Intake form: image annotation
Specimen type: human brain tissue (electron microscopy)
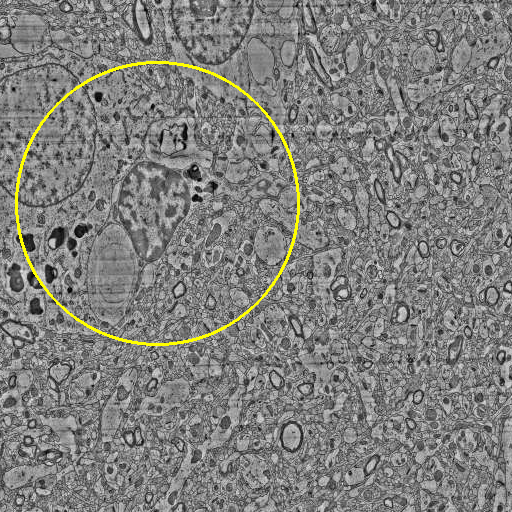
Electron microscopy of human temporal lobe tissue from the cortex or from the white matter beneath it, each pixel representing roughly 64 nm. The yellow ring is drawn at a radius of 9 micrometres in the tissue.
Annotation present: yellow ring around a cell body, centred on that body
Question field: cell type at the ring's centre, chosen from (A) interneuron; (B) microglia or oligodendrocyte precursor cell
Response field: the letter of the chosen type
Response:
B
